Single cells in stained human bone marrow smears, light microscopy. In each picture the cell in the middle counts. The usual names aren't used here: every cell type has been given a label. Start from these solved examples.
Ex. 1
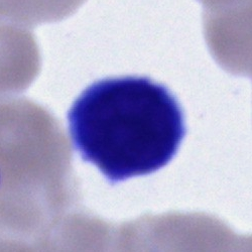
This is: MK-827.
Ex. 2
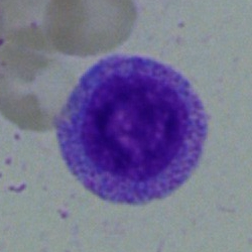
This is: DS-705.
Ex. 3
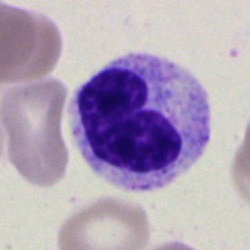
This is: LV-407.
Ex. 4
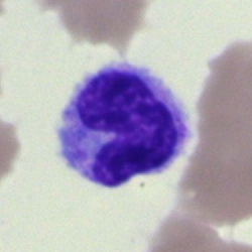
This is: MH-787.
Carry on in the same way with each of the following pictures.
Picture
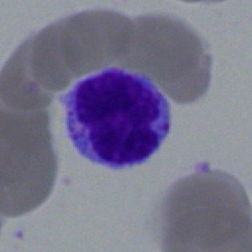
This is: MK-827.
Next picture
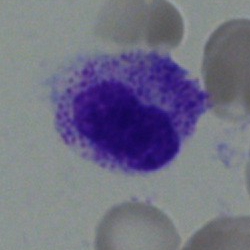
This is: LV-407.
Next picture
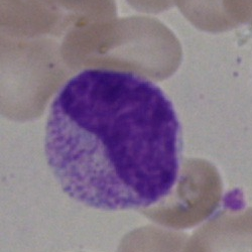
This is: LV-407.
